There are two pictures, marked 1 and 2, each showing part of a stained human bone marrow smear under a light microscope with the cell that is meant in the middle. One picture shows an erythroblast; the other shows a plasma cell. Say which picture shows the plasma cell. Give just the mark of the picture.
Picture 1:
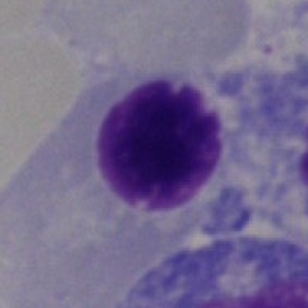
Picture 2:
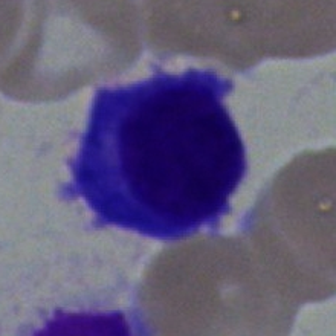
2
